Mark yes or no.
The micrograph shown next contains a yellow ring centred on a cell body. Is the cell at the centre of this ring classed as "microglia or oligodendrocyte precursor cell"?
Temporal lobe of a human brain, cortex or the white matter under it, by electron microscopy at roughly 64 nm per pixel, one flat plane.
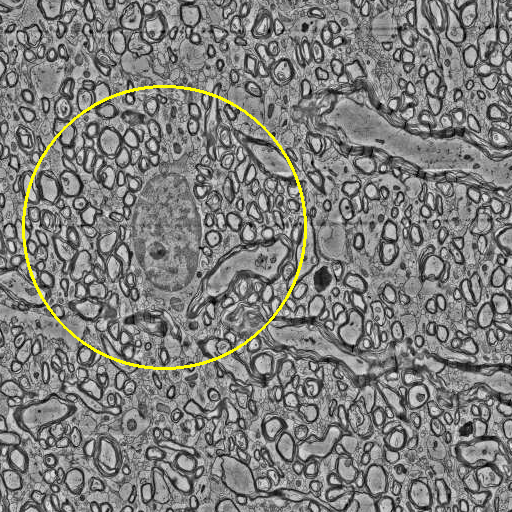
no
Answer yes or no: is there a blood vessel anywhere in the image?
No.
